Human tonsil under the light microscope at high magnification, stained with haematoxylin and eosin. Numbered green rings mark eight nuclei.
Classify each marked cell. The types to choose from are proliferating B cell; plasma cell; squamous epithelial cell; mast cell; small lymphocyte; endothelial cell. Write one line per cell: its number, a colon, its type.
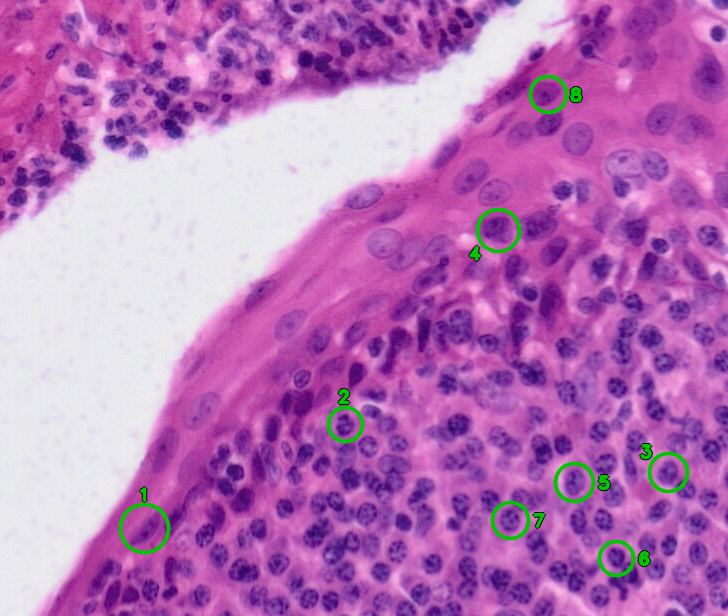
1: squamous epithelial cell
2: plasma cell
3: plasma cell
4: squamous epithelial cell
5: plasma cell
6: plasma cell
7: plasma cell
8: squamous epithelial cell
